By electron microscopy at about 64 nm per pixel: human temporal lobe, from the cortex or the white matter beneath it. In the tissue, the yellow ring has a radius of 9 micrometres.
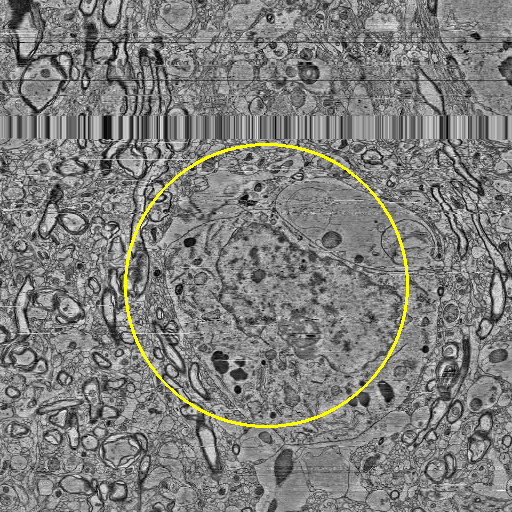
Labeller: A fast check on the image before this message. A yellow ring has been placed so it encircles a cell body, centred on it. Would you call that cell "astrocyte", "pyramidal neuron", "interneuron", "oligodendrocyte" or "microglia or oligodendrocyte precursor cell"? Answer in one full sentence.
In this image, an interneuron is the cell on which the yellow ring is centred.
